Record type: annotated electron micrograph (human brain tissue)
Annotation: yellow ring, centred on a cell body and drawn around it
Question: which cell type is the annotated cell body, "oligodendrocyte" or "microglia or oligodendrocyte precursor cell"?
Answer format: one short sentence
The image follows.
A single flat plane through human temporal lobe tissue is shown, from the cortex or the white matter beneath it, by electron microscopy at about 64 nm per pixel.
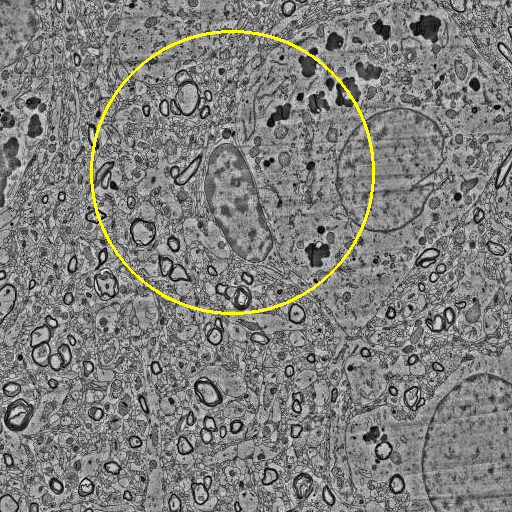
The annotated cell body is that of a microglial cell or oligodendrocyte precursor cell.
